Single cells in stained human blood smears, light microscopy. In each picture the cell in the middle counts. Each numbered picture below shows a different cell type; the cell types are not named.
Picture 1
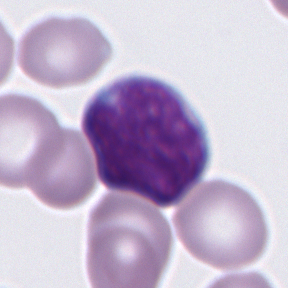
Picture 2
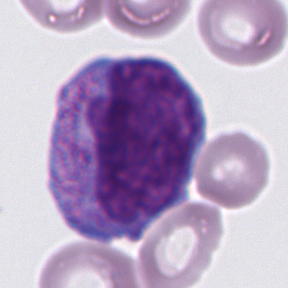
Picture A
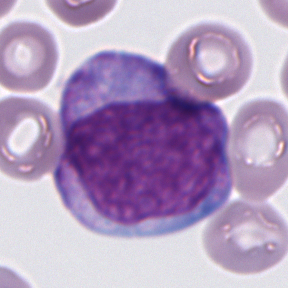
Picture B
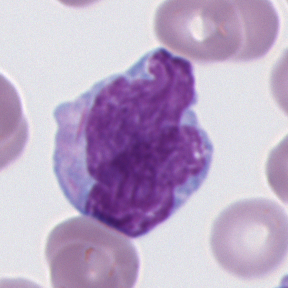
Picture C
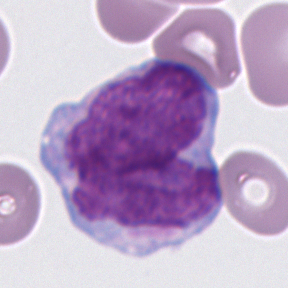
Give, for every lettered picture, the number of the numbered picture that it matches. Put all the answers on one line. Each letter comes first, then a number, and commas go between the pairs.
A 2, B 2, C 2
